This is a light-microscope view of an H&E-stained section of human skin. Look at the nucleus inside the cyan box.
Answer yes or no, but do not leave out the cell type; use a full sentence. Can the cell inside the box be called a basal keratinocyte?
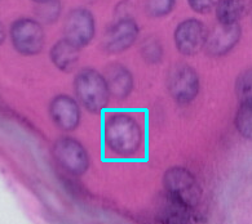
No, the cell inside the box is put down as a suprabasal keratinocyte, not as a basal keratinocyte.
